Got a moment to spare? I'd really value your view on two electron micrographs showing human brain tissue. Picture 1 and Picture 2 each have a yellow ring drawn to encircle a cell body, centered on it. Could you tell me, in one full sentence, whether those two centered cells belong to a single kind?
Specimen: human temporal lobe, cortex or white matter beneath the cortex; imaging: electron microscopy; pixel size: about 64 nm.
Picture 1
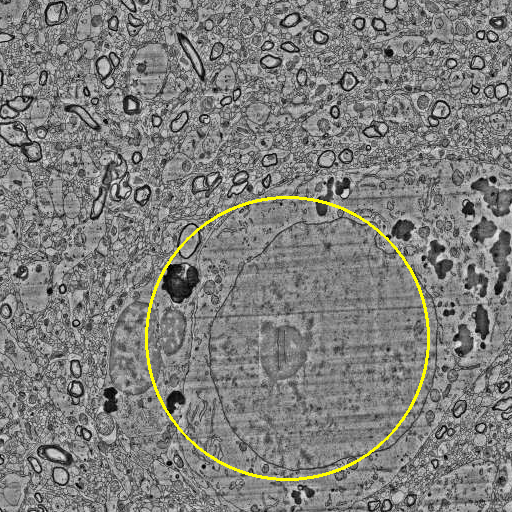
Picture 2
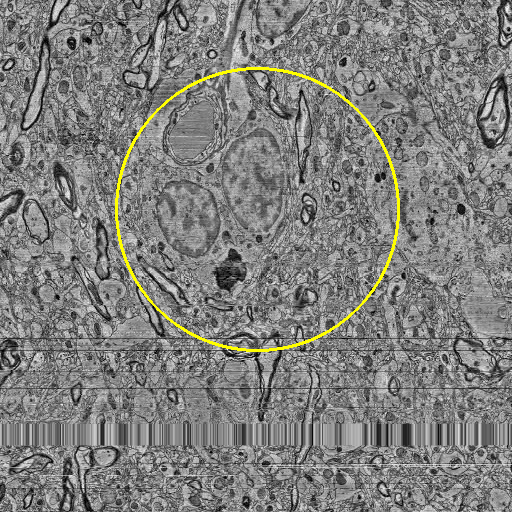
No, the two centered cells in Picture 1 and Picture 2 are of two kinds.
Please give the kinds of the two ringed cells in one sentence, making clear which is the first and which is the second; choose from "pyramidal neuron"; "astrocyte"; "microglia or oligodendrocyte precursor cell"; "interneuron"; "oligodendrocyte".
In the second picture the ringed cell is an oligodendrocyte; in the first it is a pyramidal neuron.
